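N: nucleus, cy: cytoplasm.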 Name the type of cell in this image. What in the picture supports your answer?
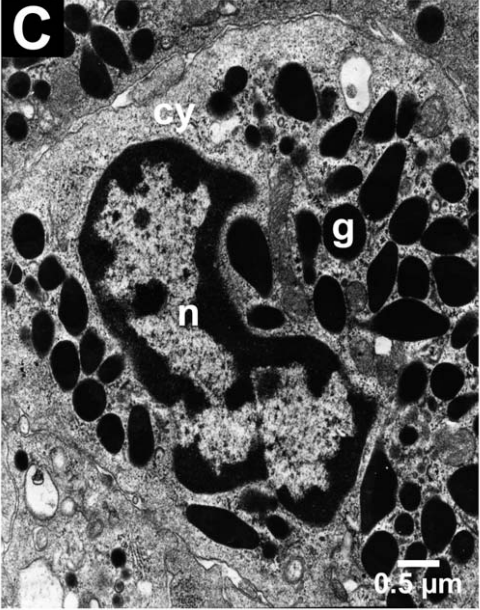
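Granular. The cytoplasm is packed with many large, oval, electron-dense granules. The granules crowd around a lobed nucleus.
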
